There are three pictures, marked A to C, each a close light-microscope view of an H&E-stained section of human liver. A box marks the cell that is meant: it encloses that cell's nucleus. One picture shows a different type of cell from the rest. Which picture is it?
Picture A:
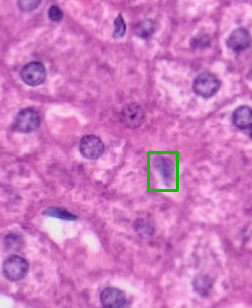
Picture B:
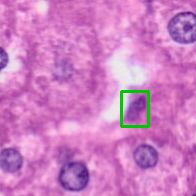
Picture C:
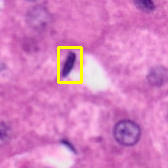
B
